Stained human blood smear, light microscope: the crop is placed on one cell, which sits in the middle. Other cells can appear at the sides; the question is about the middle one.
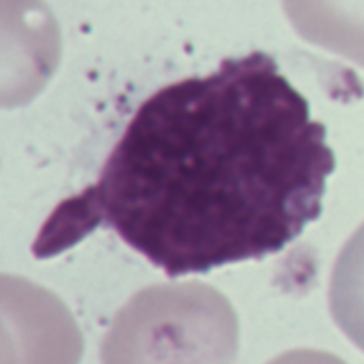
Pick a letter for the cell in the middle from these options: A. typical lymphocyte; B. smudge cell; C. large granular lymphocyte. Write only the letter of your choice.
B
